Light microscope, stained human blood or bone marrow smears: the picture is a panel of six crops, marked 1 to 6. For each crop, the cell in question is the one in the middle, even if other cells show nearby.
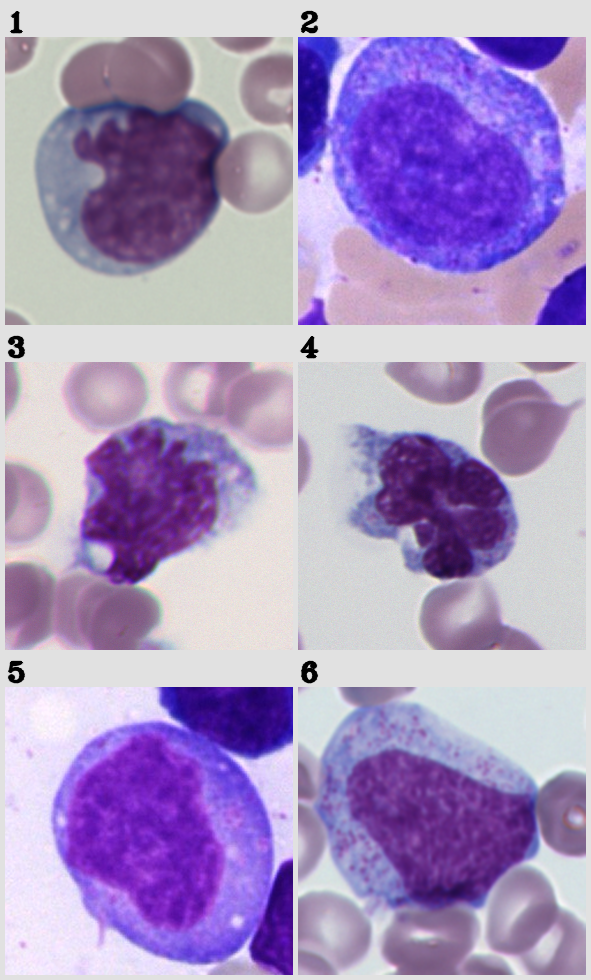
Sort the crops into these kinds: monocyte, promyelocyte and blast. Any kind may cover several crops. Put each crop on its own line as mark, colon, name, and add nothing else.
1: blast
2: promyelocyte
3: monocyte
4: monocyte
5: blast
6: promyelocyte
